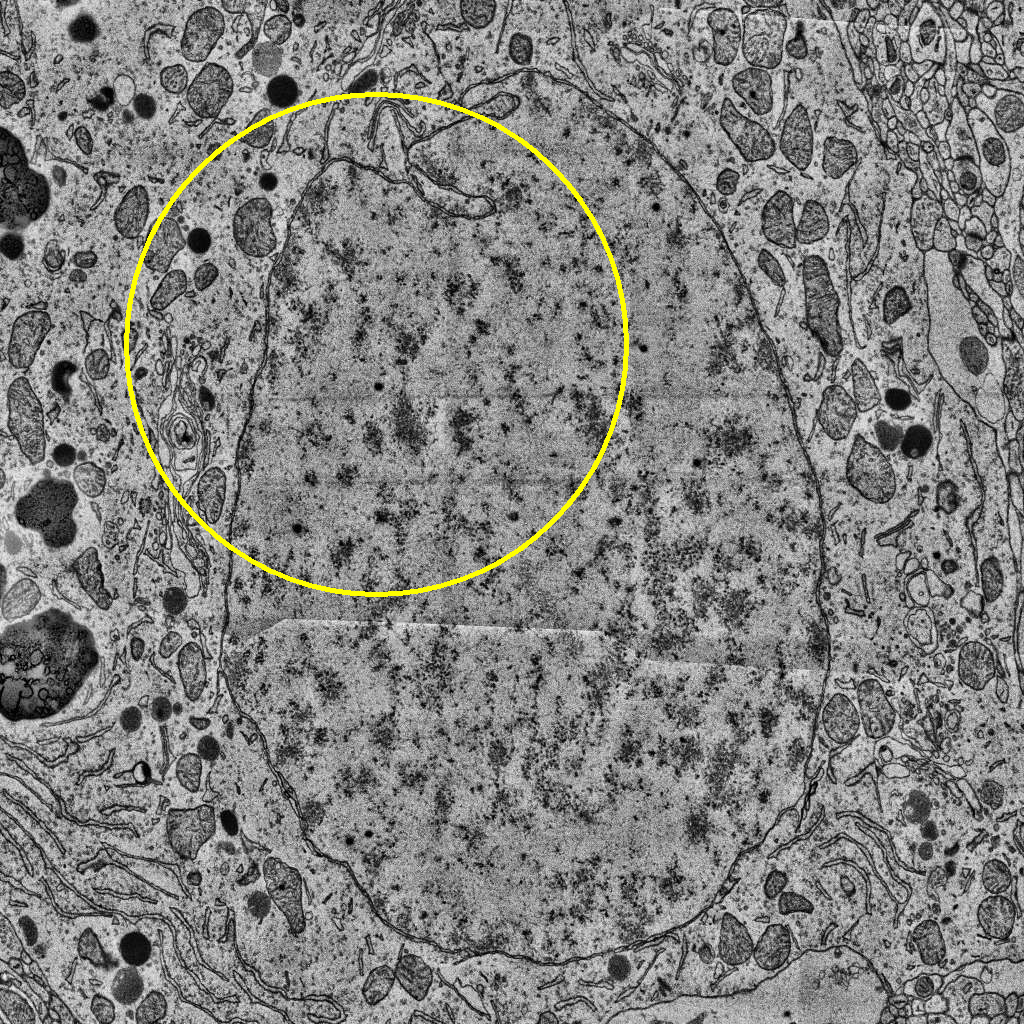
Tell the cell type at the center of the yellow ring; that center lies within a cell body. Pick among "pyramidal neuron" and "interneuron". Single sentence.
The ring's center lies in the body of an interneuron.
